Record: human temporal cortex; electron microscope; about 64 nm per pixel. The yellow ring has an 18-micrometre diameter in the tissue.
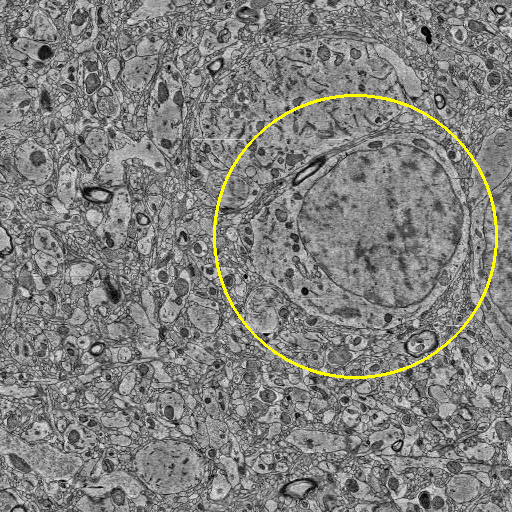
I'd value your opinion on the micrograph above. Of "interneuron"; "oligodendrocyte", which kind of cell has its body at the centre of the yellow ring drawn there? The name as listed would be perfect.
interneuron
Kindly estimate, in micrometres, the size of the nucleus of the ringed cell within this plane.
Approximately 11 micrometres across in this plane.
